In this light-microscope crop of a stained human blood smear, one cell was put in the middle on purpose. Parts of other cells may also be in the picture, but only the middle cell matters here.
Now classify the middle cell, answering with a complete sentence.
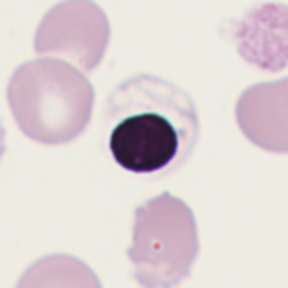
The crop's centre is taken up by a normoblast.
